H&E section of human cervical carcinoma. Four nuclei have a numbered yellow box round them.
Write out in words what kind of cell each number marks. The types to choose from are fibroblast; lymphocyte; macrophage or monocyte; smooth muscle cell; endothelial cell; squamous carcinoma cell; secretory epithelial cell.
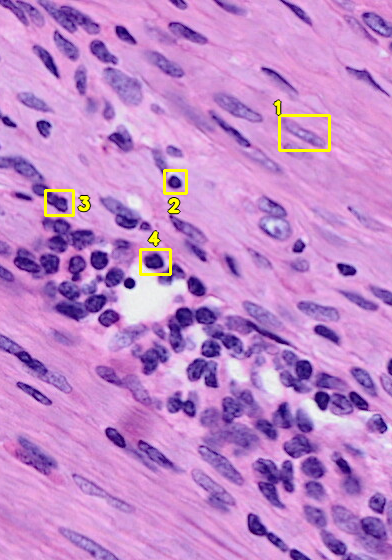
Cell 1 is a smooth muscle cell. Cells 2, 3 and 4 are lymphocytes.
